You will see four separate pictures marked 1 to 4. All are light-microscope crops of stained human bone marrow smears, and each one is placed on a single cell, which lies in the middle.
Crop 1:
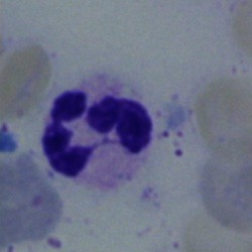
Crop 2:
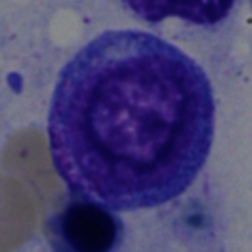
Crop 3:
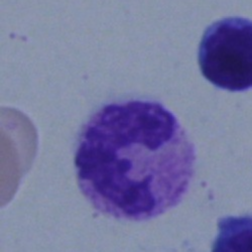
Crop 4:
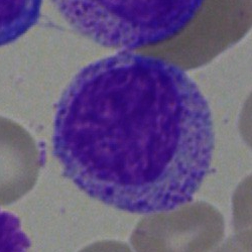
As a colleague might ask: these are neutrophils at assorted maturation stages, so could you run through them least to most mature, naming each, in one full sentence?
The order of the crops by rising maturity is crop 2 (a promyelocyte), crop 4 (a myelocyte), crop 3 (a band neutrophil) and crop 1 (a segmented neutrophil).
